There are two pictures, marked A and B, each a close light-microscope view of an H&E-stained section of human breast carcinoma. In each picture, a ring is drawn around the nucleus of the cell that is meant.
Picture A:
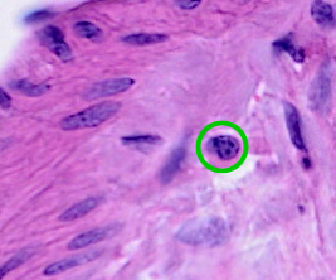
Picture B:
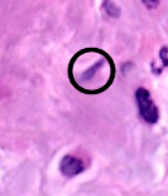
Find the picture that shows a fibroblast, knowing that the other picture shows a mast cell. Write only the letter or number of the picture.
B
